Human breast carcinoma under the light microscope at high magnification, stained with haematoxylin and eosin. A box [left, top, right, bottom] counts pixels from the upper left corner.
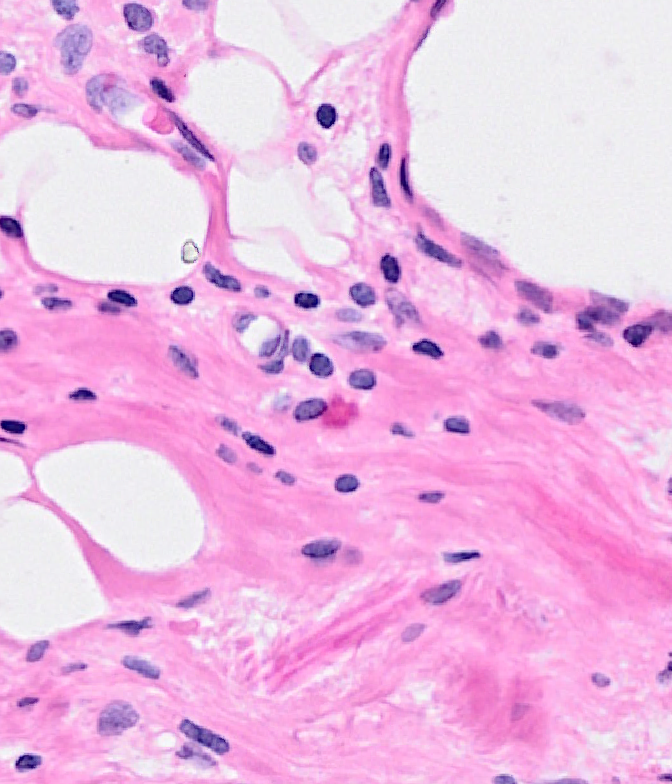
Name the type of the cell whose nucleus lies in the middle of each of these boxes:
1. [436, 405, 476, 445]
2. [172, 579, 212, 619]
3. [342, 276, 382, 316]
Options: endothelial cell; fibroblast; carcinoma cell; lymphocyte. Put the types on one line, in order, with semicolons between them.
lymphocyte; fibroblast; lymphocyte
